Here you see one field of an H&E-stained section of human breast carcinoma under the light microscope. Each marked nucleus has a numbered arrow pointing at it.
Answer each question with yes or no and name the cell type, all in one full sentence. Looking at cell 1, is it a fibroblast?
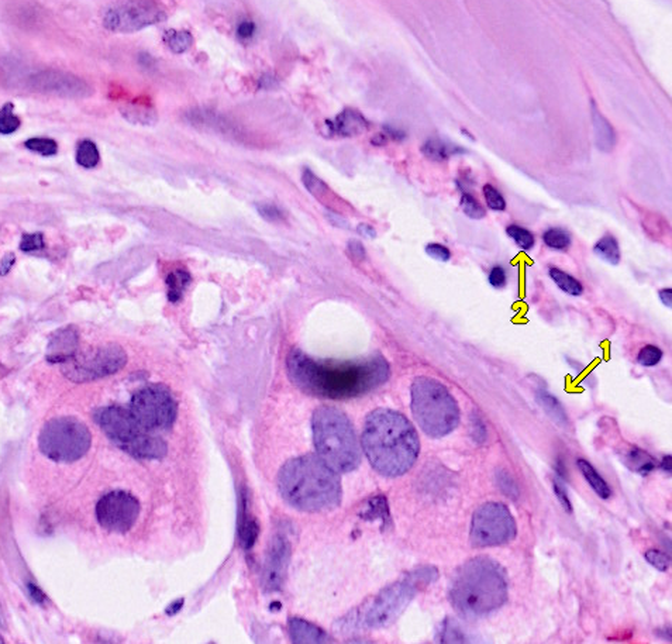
Yes, number 1 in this section denotes a fibroblast.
